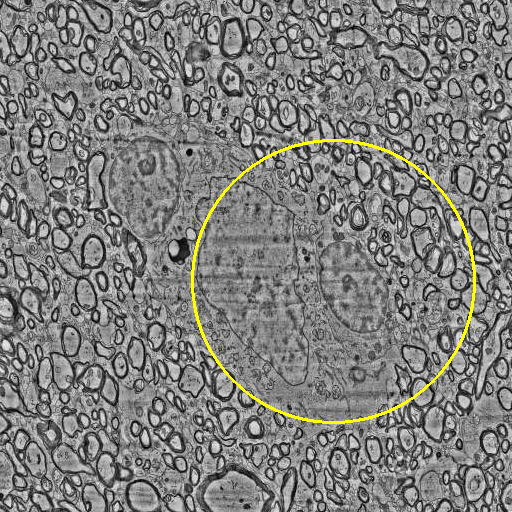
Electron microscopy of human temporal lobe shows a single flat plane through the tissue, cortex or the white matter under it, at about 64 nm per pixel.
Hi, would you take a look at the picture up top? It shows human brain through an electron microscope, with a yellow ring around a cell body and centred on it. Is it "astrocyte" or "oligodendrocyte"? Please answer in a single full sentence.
The best fit for the cell in the middle of the ring is an oligodendrocyte, I reckon.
